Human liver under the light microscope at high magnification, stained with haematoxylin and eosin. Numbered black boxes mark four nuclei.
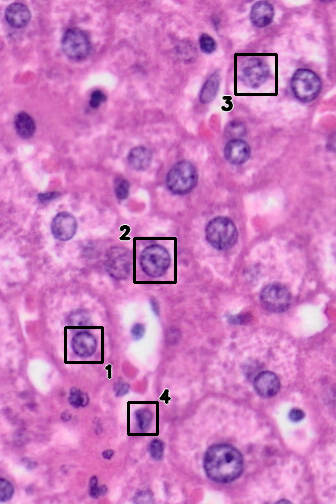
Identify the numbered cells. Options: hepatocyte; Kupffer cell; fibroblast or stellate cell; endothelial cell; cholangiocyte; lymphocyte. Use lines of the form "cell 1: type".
cell 1: hepatocyte
cell 2: hepatocyte
cell 3: hepatocyte
cell 4: Kupffer cell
